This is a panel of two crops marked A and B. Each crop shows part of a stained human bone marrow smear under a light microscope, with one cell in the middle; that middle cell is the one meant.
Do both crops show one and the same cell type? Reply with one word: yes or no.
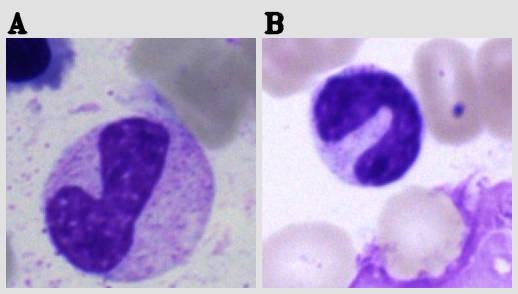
yes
